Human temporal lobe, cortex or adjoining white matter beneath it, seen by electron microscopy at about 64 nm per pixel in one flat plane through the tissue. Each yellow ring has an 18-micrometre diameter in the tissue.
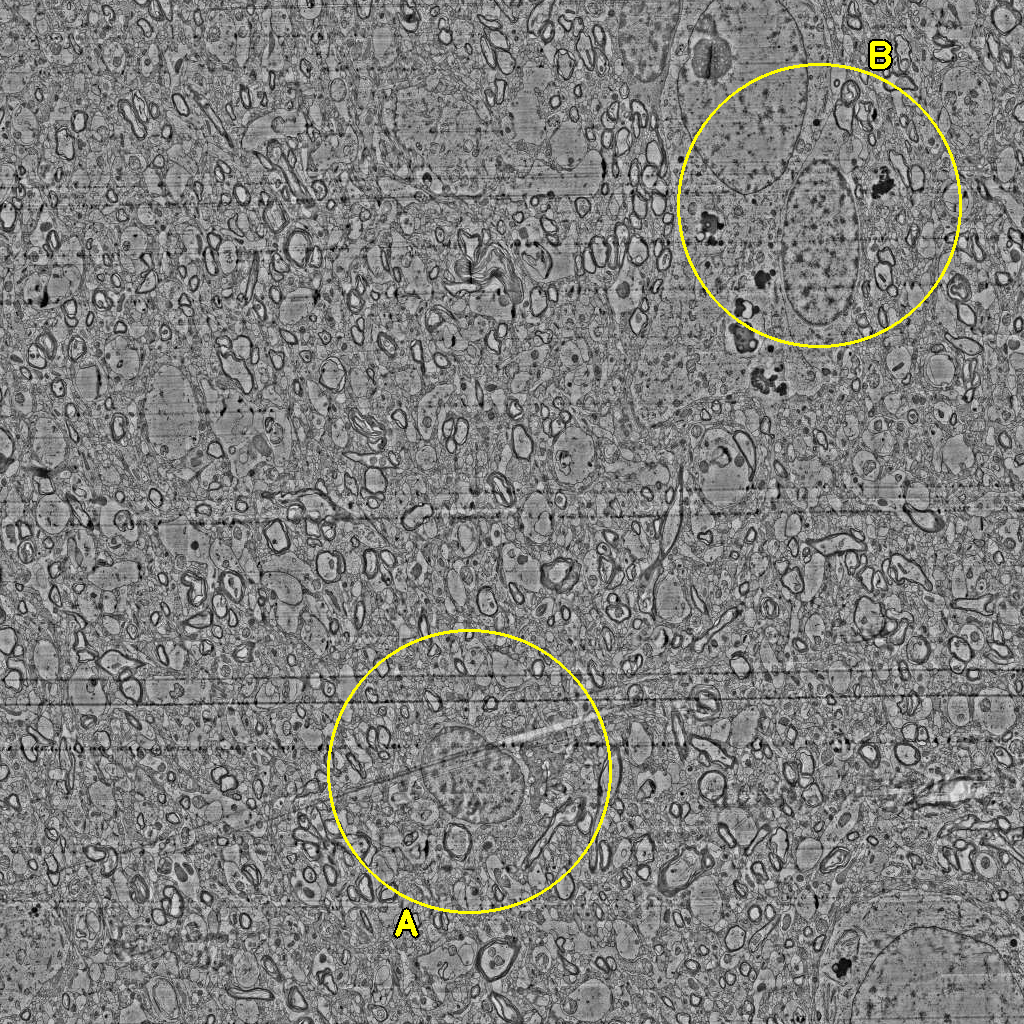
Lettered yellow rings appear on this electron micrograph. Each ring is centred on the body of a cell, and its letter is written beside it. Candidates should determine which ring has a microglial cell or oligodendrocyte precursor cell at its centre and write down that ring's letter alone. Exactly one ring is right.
B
